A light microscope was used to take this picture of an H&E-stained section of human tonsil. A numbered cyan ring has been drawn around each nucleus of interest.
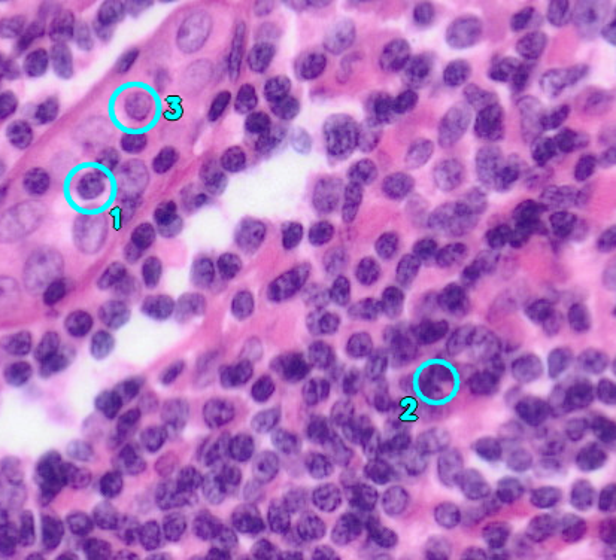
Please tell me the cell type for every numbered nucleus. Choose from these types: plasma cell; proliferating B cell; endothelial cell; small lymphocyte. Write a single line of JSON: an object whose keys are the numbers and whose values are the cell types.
{"1": "endothelial cell", "2": "small lymphocyte", "3": "endothelial cell"}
